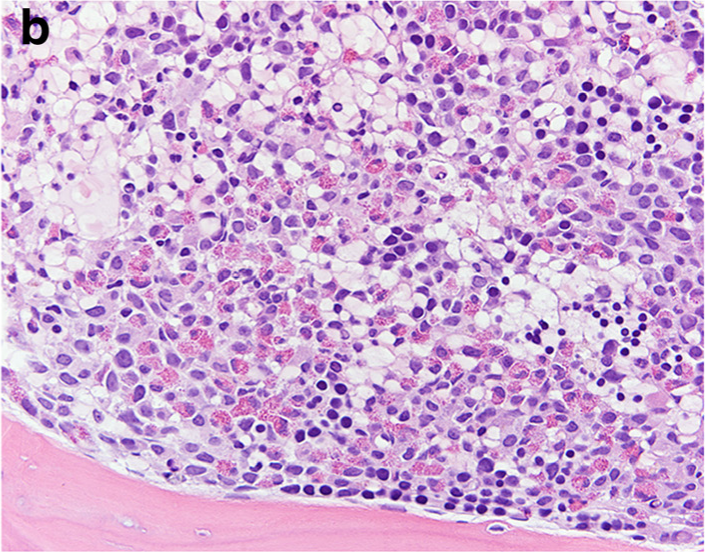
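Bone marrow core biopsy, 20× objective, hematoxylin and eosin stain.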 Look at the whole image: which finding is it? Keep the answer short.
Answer: prominent eosinophilia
